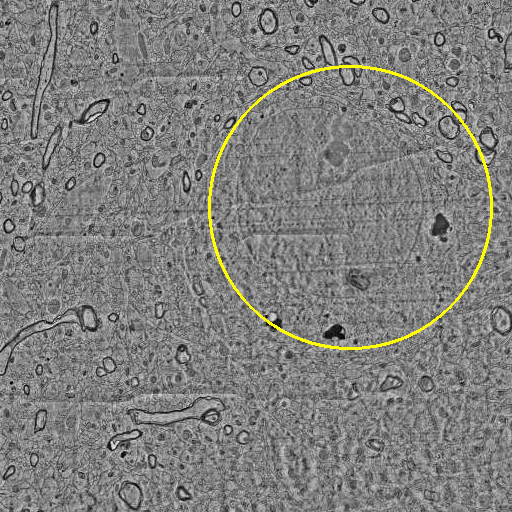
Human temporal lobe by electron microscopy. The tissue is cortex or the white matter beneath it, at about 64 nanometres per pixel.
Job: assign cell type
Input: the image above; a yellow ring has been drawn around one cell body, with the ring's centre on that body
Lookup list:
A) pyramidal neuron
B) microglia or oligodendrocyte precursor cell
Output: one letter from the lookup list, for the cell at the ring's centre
A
